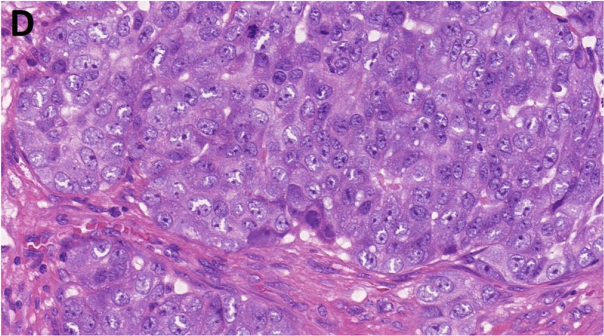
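Here a nest of tumor cells is bordered by bands of pink fibrous stroma. The cells are crowded, with pink cytoplasm and large, pleomorphic nuclei, some very dark and enlarged, most with open chromatin and conspicuous nucleoli. Scattered small clear spaces lie among the cells.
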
